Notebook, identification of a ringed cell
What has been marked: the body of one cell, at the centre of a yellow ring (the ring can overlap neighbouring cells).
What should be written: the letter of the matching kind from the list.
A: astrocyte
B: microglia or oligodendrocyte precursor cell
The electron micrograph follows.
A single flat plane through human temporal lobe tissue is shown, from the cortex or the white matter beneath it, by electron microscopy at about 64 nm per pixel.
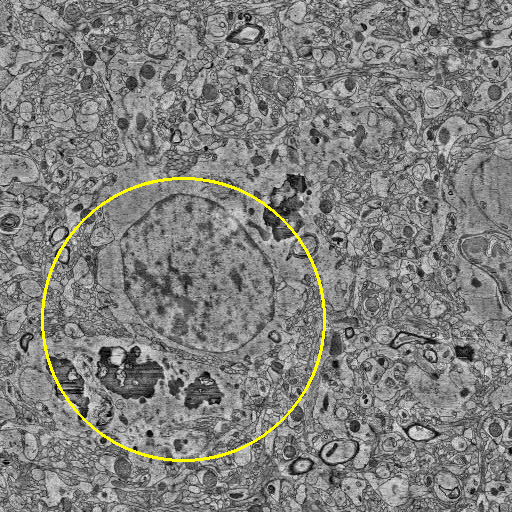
A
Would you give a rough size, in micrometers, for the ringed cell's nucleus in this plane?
In this plane, approximately 11 by 9 micrometers.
